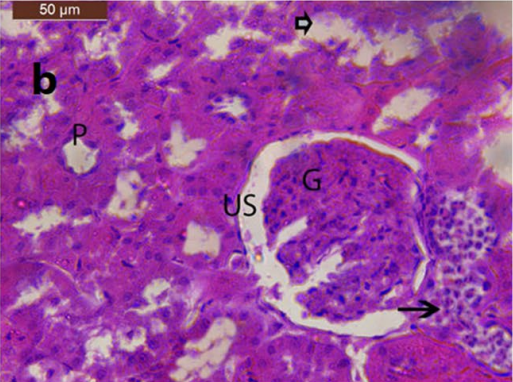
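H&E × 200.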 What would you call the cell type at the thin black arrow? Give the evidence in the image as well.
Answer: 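Interstitial inflammatory cells. A dense cluster of small round dark-purple nuclei lies at the arrow. The cluster sits in the tissue beside the glomerulus, between structures rather than lining a tubule.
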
